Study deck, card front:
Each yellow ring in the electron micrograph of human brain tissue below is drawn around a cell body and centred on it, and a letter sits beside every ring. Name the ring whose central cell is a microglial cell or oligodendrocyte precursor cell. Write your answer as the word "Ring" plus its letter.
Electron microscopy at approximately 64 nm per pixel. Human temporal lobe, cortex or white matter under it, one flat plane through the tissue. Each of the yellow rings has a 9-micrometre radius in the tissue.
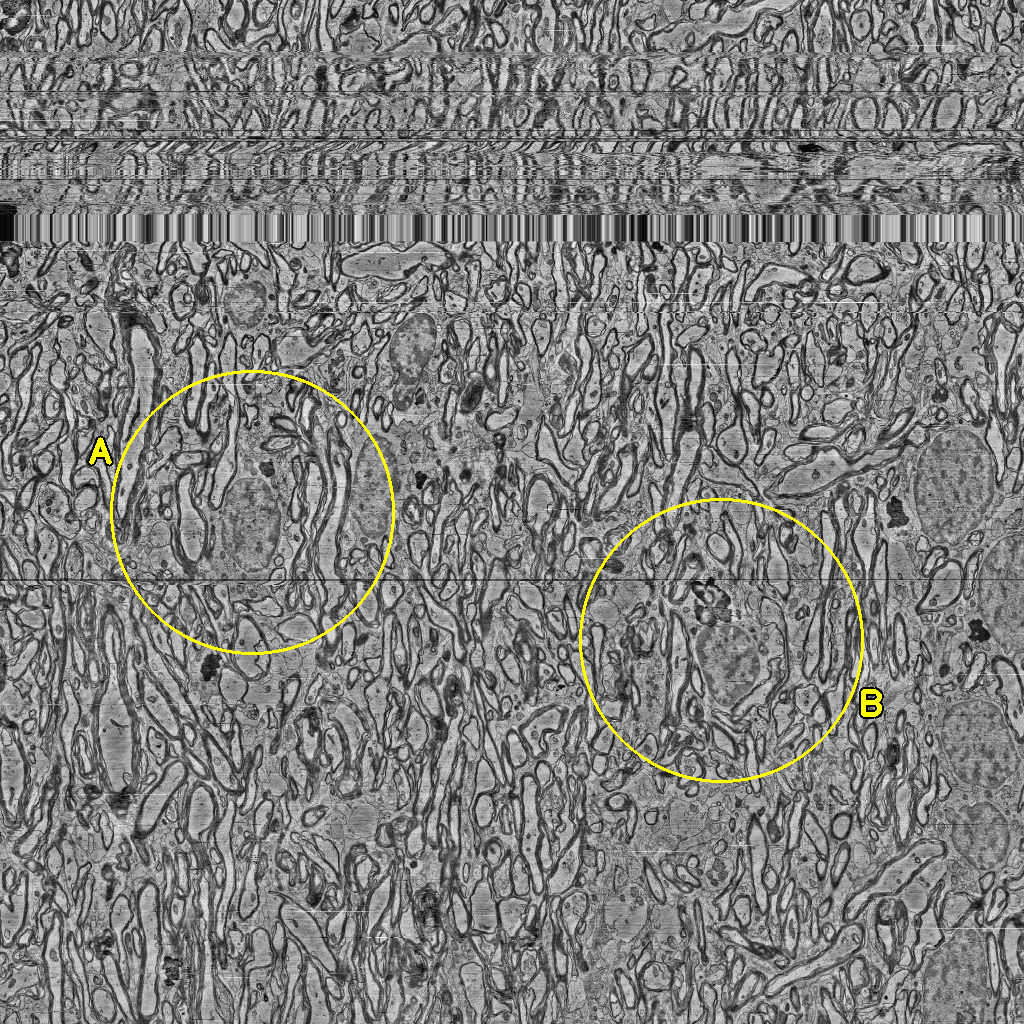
Ring B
